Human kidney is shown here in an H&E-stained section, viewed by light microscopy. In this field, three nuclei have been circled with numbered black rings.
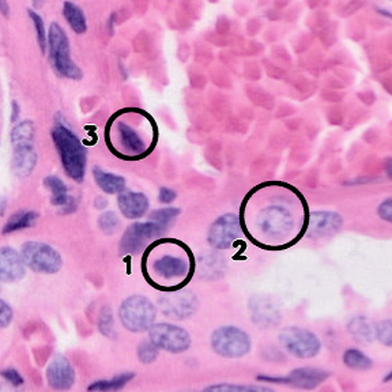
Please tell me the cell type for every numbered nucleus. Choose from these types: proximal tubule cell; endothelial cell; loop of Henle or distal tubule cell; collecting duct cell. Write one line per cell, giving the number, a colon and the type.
1: collecting duct cell
2: collecting duct cell
3: endothelial cell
